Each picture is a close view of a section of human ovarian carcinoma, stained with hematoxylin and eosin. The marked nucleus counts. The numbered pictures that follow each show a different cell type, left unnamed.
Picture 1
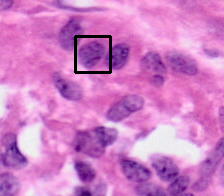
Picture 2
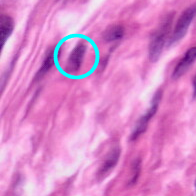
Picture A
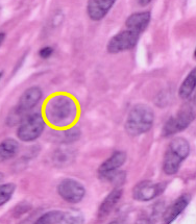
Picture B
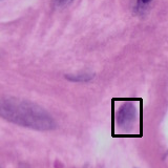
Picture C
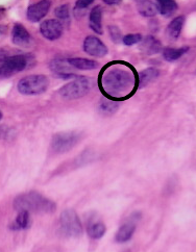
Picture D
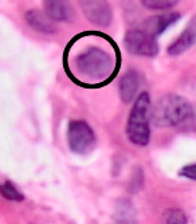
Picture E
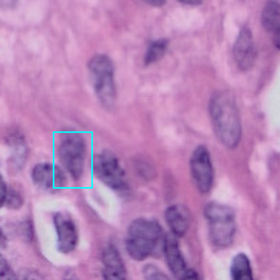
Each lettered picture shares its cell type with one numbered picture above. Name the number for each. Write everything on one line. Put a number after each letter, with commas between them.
A 1, B 2, C 1, D 1, E 1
